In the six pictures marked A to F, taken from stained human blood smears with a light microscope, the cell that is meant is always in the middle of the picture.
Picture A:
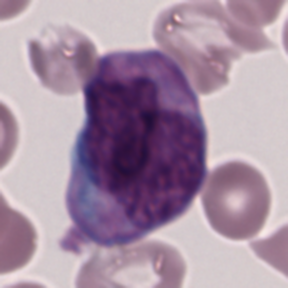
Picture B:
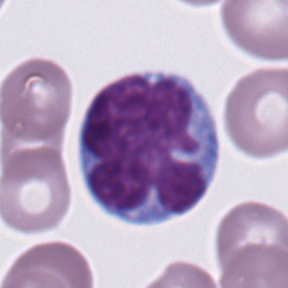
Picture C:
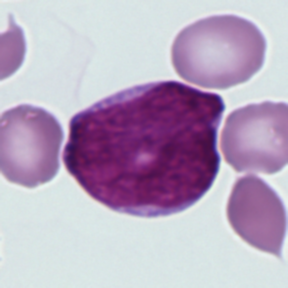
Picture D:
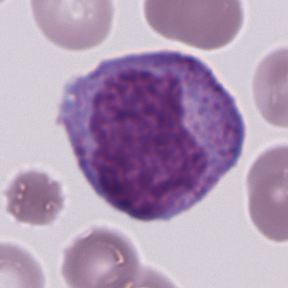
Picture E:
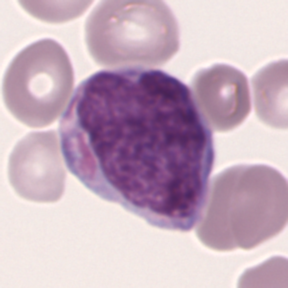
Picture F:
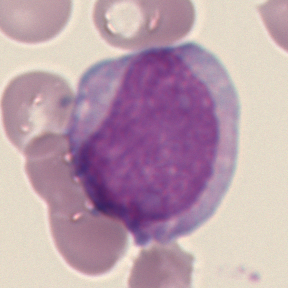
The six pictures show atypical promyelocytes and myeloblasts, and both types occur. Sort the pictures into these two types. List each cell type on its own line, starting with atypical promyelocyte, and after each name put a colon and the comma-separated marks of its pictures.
atypical promyelocyte: A, D, E, F
myeloblast: B, C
